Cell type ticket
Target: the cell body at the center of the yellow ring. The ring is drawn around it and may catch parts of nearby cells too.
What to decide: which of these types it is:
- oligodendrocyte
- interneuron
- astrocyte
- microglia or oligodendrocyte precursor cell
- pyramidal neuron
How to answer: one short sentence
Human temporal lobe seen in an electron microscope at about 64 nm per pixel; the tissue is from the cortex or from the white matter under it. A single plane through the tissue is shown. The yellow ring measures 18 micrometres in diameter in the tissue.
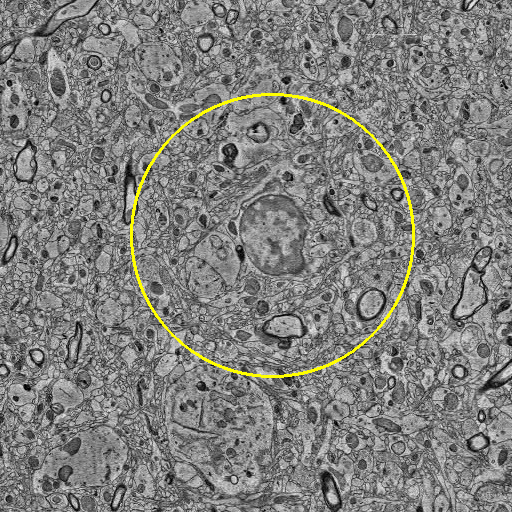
The cell at the center of the ring is a microglial cell or oligodendrocyte precursor cell.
